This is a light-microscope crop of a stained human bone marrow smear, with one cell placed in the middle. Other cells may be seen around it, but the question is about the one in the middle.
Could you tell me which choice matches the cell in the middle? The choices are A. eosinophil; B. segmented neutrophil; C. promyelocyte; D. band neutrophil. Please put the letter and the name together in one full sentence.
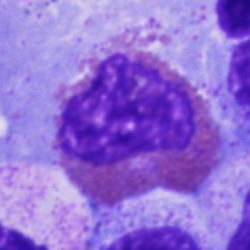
The cell shown centrally is an eosinophil; option A is the correct option.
